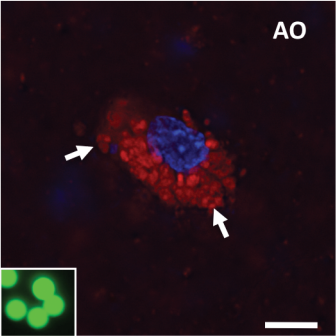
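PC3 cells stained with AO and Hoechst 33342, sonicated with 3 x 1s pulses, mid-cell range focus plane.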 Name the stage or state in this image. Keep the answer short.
Unbroken cell.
